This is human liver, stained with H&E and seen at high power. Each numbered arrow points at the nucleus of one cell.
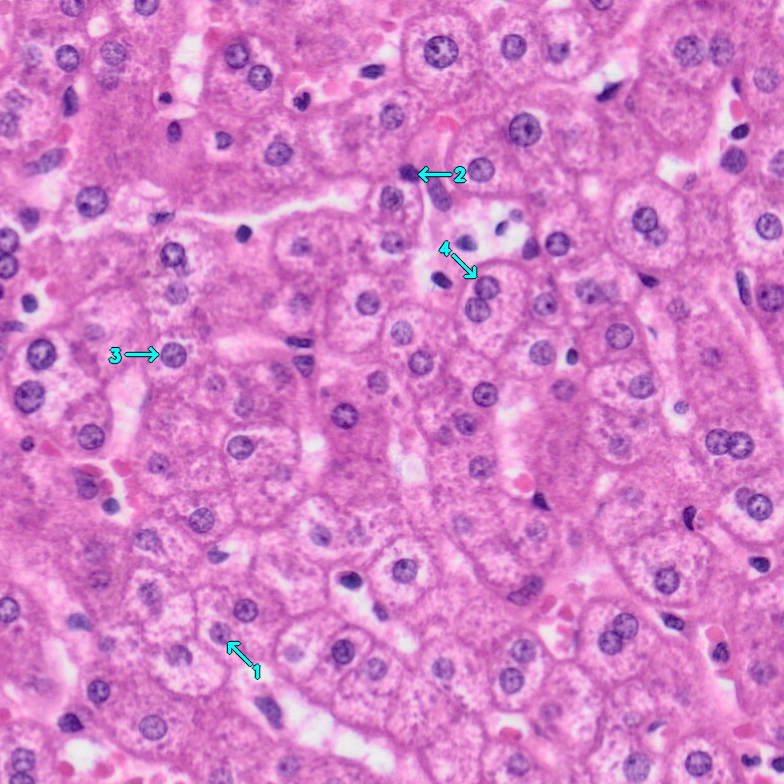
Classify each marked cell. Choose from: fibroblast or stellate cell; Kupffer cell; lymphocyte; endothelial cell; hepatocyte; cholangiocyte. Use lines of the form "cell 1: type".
cell 1: hepatocyte
cell 2: fibroblast or stellate cell
cell 3: hepatocyte
cell 4: hepatocyte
